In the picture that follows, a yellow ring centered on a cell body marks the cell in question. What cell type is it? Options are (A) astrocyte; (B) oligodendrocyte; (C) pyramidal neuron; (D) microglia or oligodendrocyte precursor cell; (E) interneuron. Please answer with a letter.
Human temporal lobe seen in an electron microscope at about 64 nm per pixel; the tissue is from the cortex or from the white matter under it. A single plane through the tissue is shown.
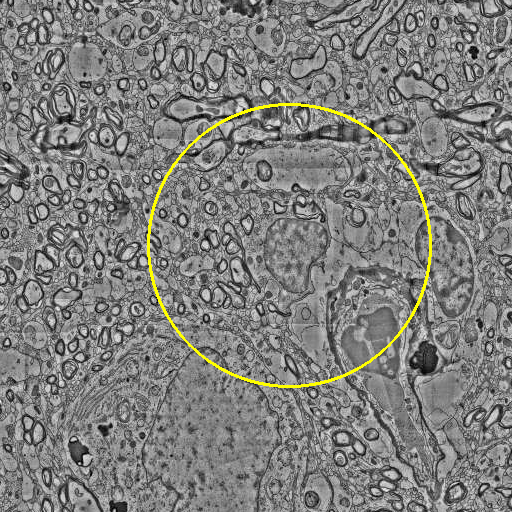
B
